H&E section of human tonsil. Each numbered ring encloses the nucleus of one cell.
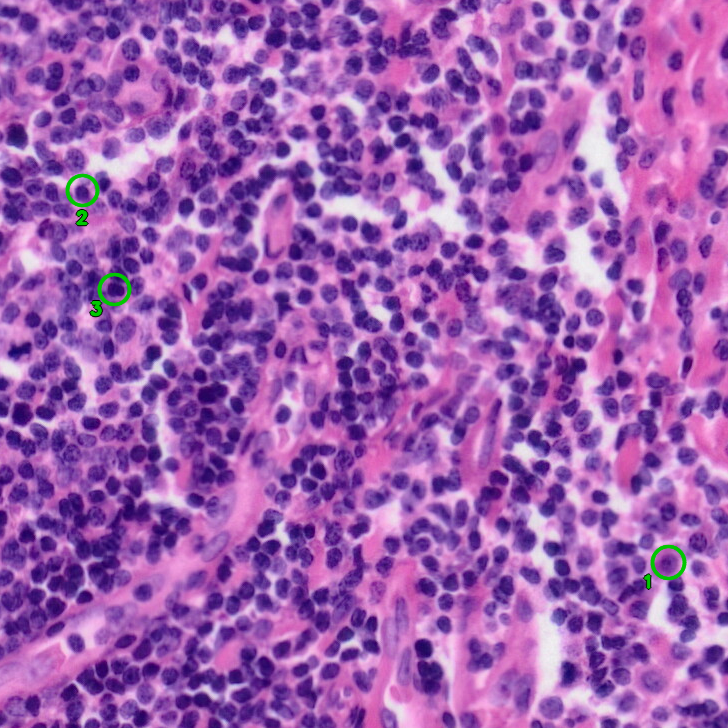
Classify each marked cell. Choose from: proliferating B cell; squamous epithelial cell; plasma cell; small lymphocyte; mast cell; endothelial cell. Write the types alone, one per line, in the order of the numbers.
plasma cell
small lymphocyte
small lymphocyte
